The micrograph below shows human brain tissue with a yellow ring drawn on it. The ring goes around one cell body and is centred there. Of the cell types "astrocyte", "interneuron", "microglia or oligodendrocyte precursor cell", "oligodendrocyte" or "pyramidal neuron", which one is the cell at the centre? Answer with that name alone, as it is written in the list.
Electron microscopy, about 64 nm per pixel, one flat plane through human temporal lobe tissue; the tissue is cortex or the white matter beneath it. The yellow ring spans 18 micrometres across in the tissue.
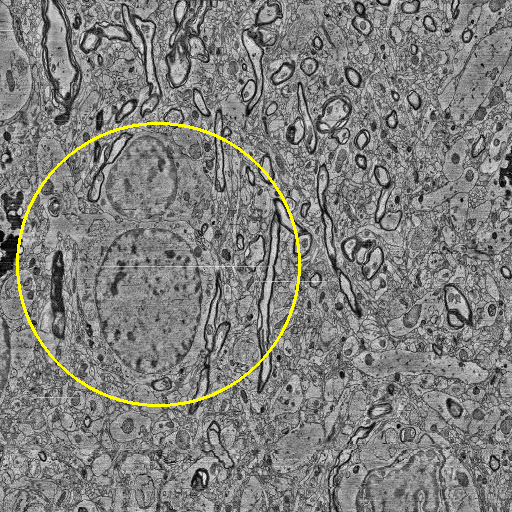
astrocyte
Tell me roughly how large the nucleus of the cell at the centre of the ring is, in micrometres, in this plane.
Roughly 10 by 7 micrometres is the size of the nucleus in this plane.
